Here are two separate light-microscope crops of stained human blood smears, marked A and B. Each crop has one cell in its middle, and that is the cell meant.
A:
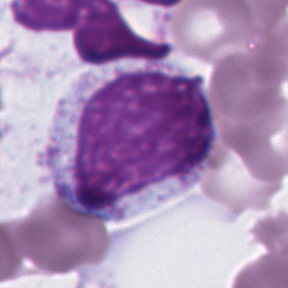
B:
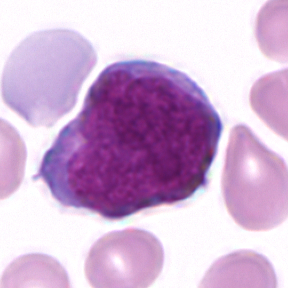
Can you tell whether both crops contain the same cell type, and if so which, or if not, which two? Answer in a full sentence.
No, a myelocyte is the subject of crop A, and an atypical promyelocyte is the subject of crop B.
